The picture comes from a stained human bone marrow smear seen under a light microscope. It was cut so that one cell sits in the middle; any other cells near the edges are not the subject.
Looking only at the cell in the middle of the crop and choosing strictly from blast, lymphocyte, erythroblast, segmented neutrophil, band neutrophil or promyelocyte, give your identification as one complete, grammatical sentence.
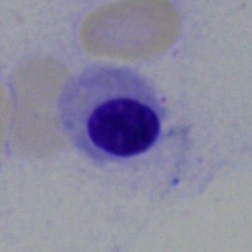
The cell featured at the centre of this crop is an erythroblast.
